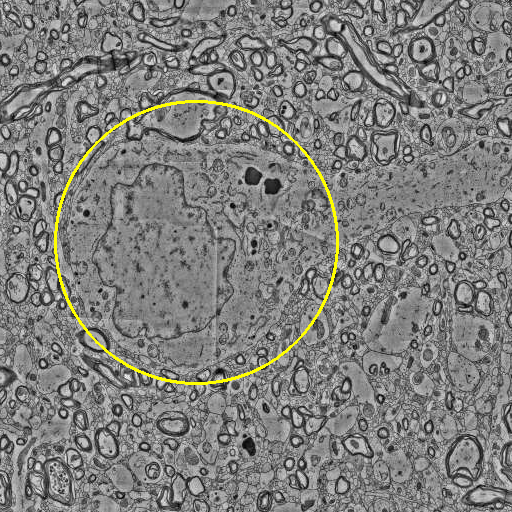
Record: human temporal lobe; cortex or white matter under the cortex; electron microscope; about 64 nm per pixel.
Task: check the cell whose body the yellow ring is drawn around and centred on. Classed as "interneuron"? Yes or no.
No, it belongs to another class.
